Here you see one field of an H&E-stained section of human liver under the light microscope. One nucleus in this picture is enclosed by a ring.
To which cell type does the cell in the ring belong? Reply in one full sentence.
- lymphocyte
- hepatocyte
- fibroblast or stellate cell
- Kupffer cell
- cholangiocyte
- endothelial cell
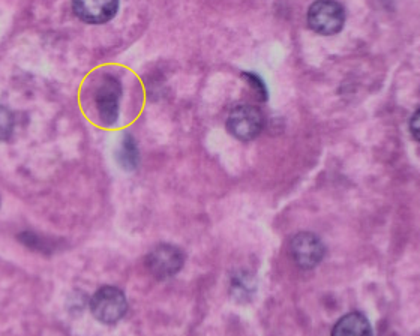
Considered by cell type, the cell in the ring is a Kupffer cell.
